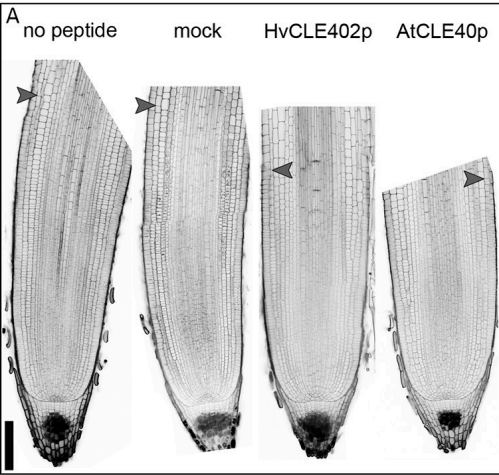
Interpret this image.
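In each, long files of cells run up from the tip. Near the tip the cells are small, short and tightly stacked; this is the meristem. Higher up, the same files change to longer cells, where the elongation zone begins, and arrowheads point to this transition. At the very bottom of each root, the cap is darkly filled in its centre, and loose cells peel off at the sides. The distance from tip to transition differs among the four roots.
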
